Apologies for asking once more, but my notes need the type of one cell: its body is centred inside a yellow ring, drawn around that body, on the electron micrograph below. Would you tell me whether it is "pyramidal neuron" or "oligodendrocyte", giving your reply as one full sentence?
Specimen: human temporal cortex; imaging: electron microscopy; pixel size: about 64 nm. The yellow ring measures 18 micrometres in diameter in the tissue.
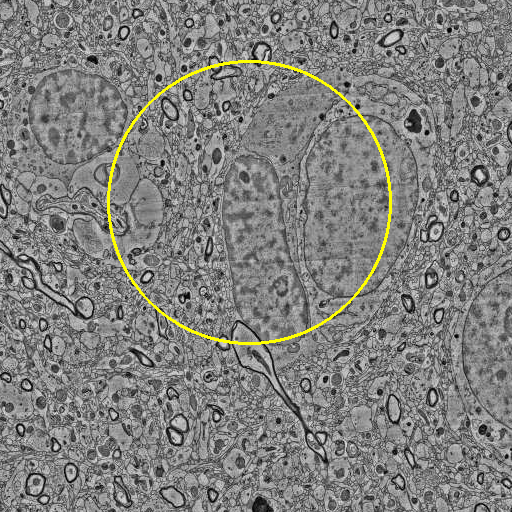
The cell that the yellow ring is centred on is an oligodendrocyte in this micrograph.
